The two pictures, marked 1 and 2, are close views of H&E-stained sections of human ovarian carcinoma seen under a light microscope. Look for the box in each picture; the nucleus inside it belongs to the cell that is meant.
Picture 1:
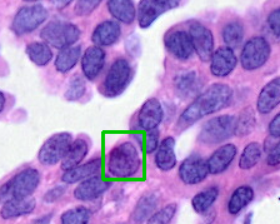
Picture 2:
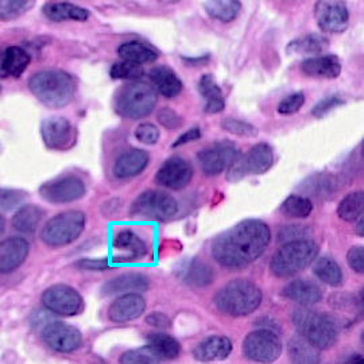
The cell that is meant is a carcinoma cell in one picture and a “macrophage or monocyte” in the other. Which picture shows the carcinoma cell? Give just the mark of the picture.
1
